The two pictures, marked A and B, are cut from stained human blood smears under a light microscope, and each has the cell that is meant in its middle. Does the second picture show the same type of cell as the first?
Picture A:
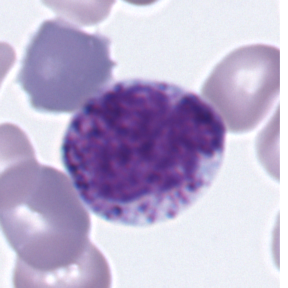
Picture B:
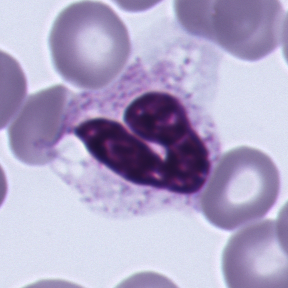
no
